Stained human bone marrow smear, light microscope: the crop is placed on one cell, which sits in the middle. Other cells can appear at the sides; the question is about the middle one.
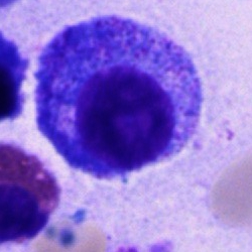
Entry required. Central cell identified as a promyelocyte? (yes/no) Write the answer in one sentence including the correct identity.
Yes, the cell under consideration, the one in the middle, is a promyelocyte.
